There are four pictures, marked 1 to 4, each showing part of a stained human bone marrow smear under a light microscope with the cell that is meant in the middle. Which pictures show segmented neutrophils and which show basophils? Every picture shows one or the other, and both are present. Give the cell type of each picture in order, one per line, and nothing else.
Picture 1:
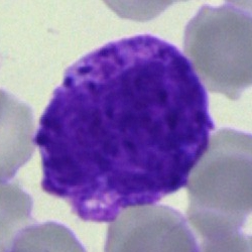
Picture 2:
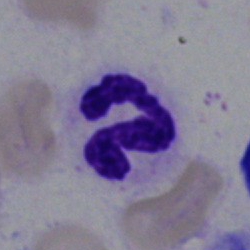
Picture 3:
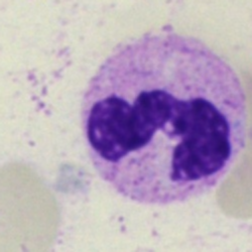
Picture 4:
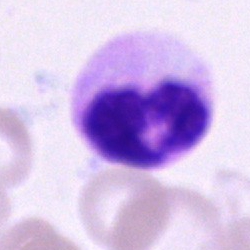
basophil
segmented neutrophil
segmented neutrophil
segmented neutrophil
